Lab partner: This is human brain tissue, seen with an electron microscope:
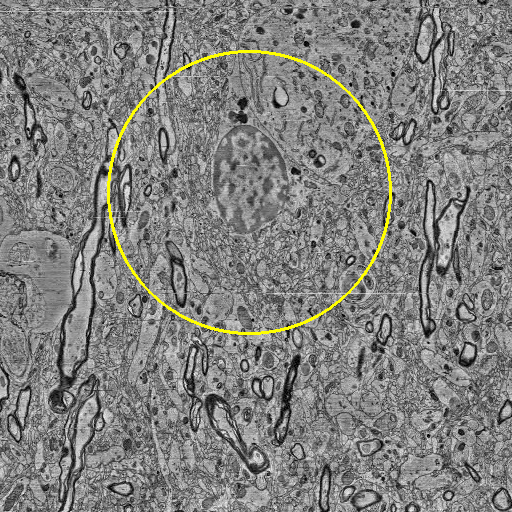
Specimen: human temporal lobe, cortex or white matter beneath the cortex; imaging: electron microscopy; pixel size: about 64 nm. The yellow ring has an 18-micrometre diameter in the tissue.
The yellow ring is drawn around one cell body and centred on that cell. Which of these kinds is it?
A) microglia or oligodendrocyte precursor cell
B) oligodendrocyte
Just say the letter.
A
